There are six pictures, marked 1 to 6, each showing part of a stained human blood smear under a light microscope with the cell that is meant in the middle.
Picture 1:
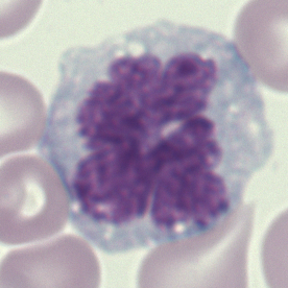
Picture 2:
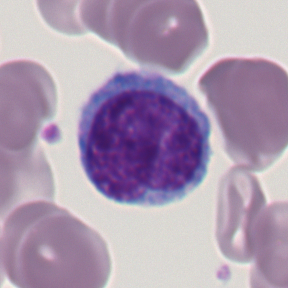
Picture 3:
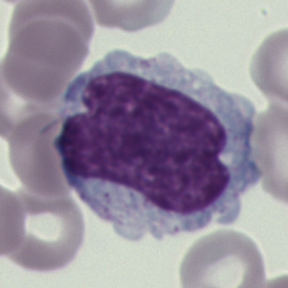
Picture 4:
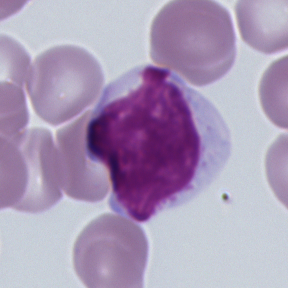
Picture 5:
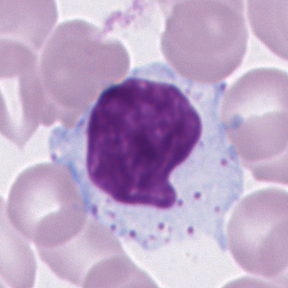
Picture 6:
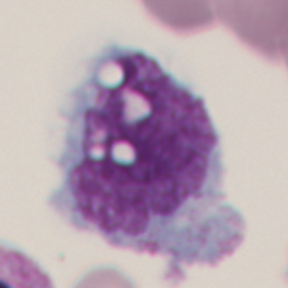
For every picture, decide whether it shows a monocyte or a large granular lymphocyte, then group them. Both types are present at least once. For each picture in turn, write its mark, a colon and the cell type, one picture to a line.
1: monocyte
2: monocyte
3: monocyte
4: large granular lymphocyte
5: large granular lymphocyte
6: monocyte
